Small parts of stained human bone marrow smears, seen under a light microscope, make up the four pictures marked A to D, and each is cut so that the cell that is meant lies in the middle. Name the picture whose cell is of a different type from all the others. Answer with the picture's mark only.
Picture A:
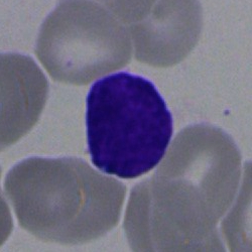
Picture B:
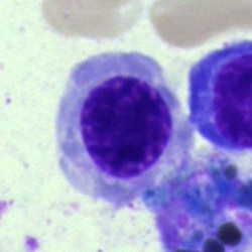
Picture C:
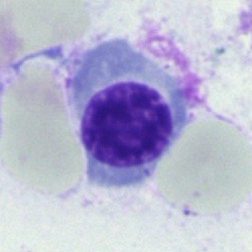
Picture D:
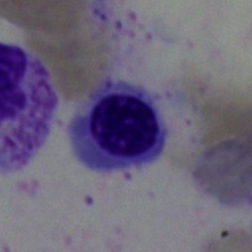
A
